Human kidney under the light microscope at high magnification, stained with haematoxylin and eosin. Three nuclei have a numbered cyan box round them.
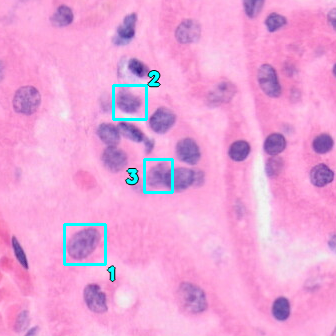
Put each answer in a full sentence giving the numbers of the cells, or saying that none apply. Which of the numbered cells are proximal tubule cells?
The sole numbered cell that is a proximal tubule cell is cell 1.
